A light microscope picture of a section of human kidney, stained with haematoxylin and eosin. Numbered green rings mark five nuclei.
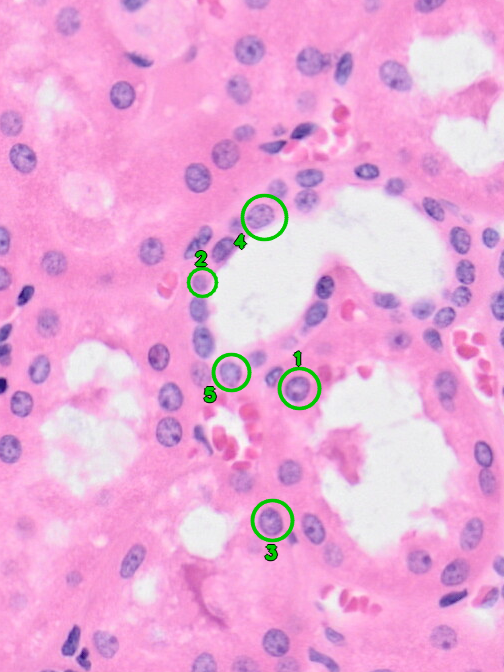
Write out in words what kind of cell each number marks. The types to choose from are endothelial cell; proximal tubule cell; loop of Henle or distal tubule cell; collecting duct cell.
Cell 1 is a proximal tubule cell, cell 2 is a collecting duct cell, cell 3 is a proximal tubule cell, cell 4 is a collecting duct cell and cell 5 is a collecting duct cell.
